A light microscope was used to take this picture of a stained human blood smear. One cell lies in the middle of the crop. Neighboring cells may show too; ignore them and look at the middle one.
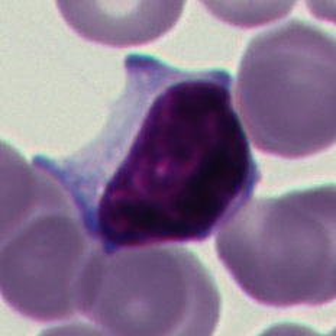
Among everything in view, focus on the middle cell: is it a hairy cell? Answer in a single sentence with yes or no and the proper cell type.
No, what lies at the heart of the crop is a typical lymphocyte, not a hairy cell.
